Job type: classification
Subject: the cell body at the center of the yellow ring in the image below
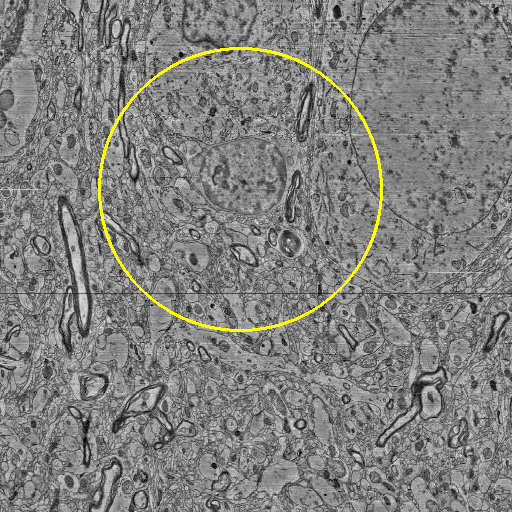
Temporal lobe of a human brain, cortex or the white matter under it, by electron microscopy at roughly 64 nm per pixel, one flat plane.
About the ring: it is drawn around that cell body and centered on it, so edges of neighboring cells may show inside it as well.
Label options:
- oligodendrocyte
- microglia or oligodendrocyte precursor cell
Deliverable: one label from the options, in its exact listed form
oligodendrocyte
